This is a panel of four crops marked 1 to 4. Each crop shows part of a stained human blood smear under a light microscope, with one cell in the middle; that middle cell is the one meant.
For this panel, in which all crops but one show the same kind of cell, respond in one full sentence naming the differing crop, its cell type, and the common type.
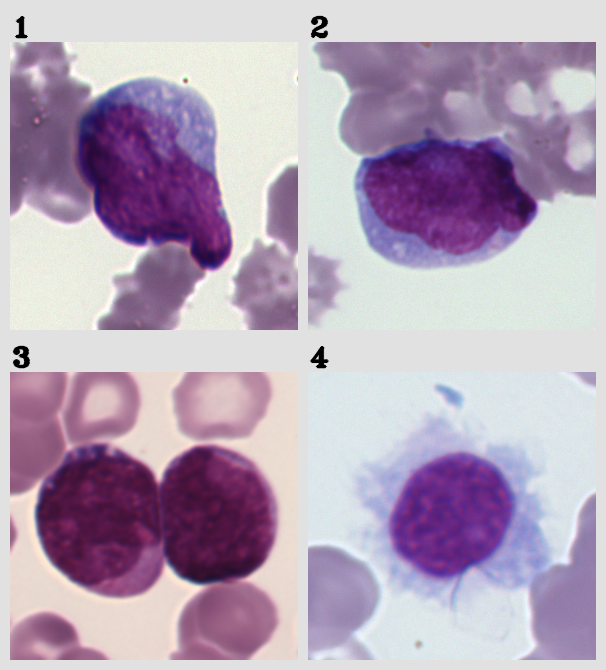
Crop 4 is the sole crop with a hairy cell; the others all have myeloblasts.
